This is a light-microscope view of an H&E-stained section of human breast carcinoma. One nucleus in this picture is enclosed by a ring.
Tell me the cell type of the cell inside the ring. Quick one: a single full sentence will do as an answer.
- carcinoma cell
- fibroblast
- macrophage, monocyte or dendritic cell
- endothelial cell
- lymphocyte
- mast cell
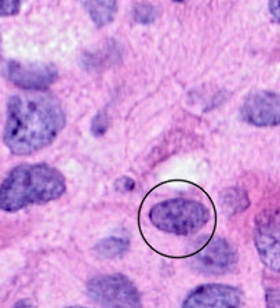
It is a carcinoma cell that the cell inside the ring represents.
